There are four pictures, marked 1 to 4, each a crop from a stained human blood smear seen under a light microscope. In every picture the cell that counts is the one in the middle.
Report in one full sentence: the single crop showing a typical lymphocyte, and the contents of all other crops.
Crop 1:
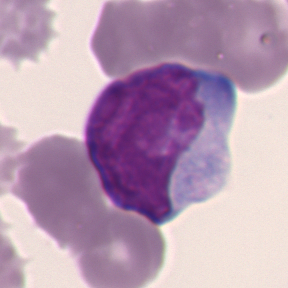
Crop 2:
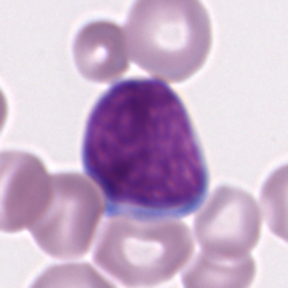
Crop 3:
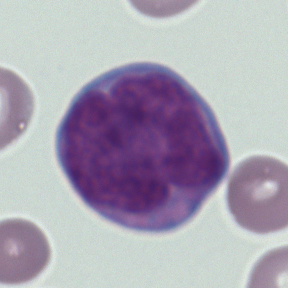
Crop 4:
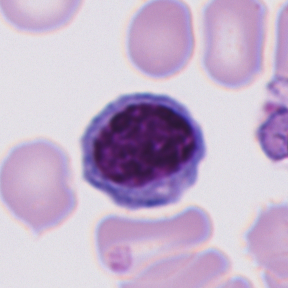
Crop 2 is identified as a typical lymphocyte, while crop 1 is a myeloblast, crop 3 is an atypical promyelocyte and crop 4 is a normoblast.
